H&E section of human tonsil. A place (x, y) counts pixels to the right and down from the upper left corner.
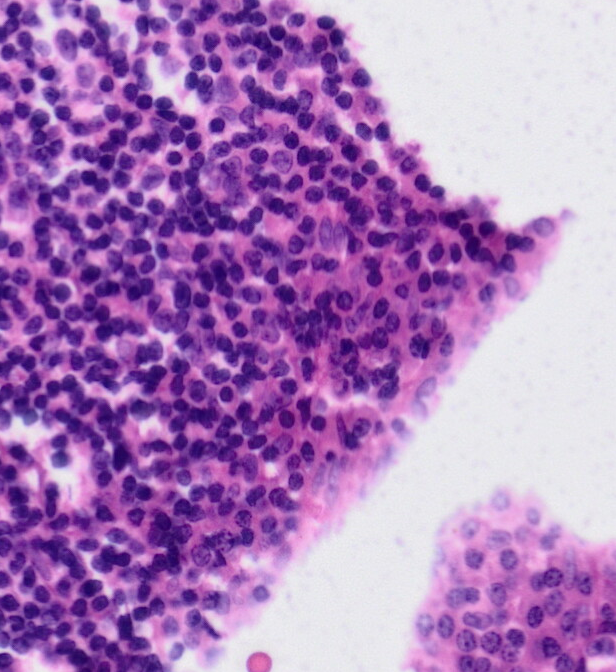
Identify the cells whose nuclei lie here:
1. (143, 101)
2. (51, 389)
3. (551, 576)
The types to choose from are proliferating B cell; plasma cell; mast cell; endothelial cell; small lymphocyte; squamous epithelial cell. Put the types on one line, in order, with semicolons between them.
small lymphocyte; small lymphocyte; plasma cell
